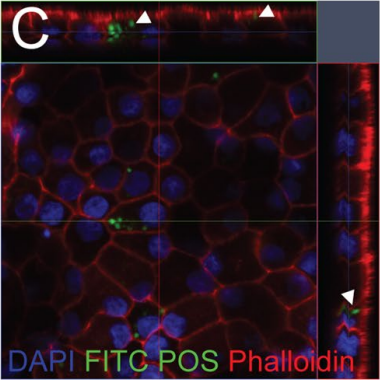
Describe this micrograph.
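This is a flat sheet of pigment epithelial cells seen from above, with red outlines marking polygonal, mostly hexagonal cell borders in a cobblestone pattern. Small green dots and clusters are scattered over several cells. The side views at top and right show the thin cell layer with a bright red apical edge, and white arrowheads point to green particles lying within the layer.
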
